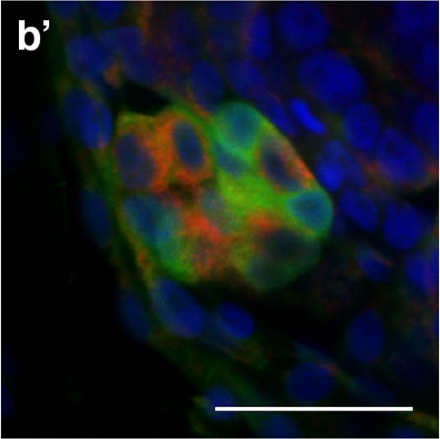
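The cells in the cluster are roughly similar in size, with rounded blue nuclei; some have reddish cytoplasm while others are outlined or filled with green. The two kinds are mixed together without any evident pattern: no cell is enclosed by a rim of others, and no large cell stands out. The cluster is compact, with cells pressed against each other, and lies beside a layer of flatter cells along its edge.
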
